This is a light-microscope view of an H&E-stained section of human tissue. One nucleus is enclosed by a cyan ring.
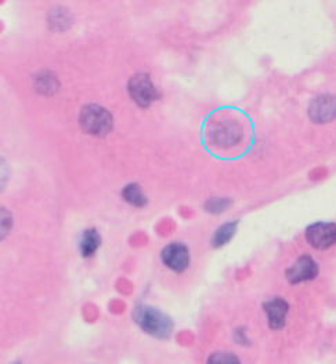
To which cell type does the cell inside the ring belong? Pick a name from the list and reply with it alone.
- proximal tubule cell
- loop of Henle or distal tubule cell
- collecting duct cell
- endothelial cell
proximal tubule cell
